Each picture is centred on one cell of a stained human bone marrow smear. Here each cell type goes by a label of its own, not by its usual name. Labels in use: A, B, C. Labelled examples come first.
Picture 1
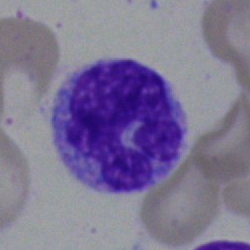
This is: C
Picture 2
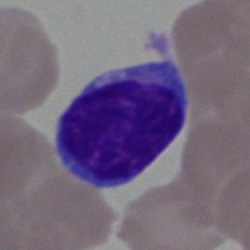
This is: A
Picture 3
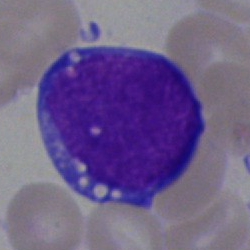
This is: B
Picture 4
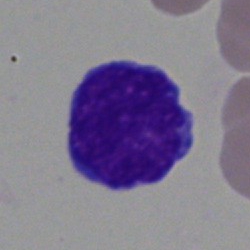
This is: B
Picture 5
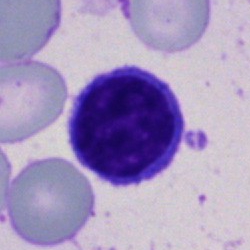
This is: A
